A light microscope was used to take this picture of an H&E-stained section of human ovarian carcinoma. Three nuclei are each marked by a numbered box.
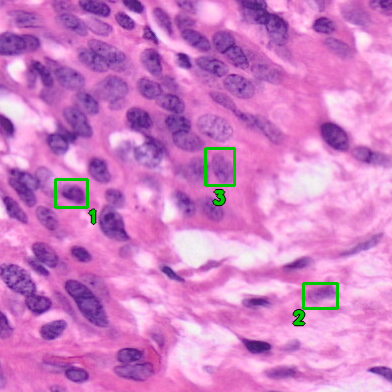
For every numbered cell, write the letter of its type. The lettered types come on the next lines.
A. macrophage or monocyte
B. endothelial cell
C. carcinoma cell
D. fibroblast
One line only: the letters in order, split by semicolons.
C; D; C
